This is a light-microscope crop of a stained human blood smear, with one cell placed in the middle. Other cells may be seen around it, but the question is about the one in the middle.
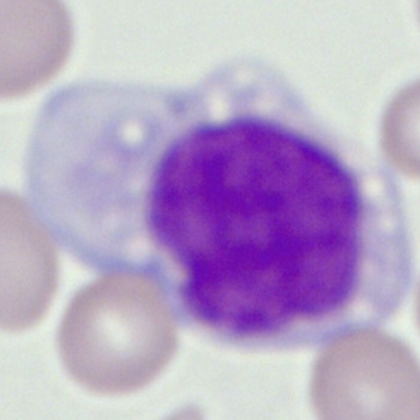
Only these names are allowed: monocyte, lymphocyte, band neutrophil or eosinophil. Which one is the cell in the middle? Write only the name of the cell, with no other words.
monocyte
